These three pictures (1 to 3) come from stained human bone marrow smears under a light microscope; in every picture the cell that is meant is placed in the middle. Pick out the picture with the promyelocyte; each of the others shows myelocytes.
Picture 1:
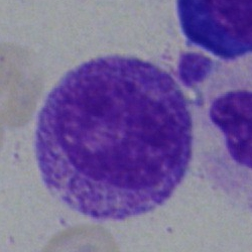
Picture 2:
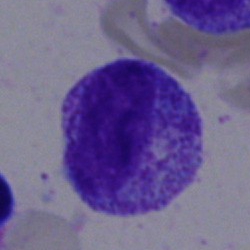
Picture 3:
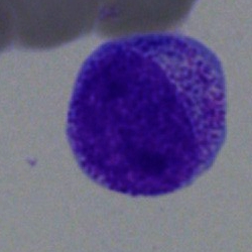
3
